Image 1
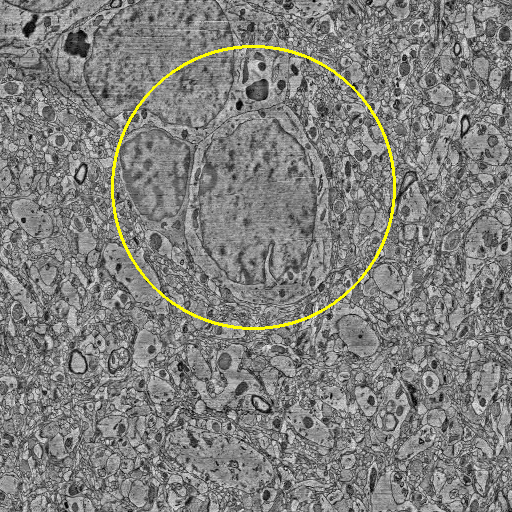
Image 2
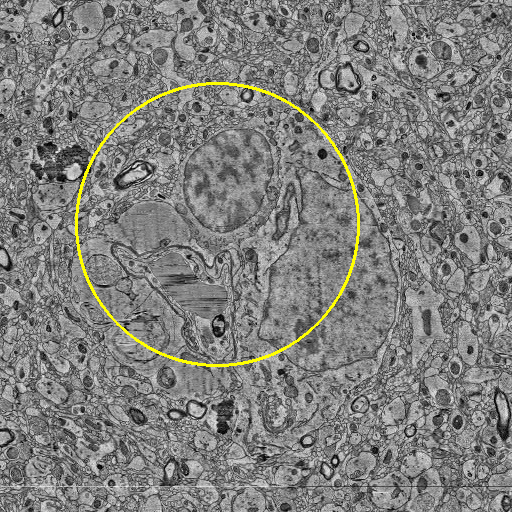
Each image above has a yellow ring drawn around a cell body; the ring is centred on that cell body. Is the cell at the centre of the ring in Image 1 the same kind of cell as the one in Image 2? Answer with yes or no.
no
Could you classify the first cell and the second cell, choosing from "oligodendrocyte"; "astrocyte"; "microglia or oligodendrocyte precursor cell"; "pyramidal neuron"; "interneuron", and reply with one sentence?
The second cell is an oligodendrocyte, while the first is an interneuron.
